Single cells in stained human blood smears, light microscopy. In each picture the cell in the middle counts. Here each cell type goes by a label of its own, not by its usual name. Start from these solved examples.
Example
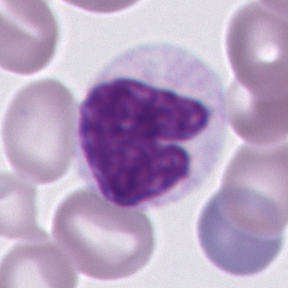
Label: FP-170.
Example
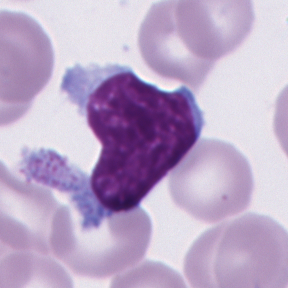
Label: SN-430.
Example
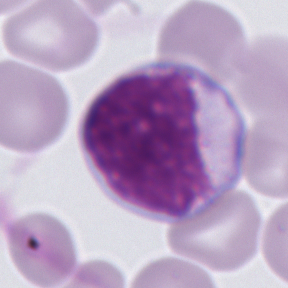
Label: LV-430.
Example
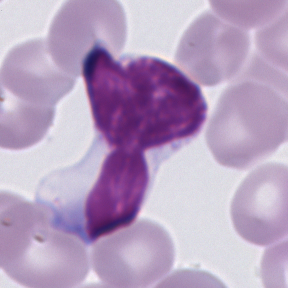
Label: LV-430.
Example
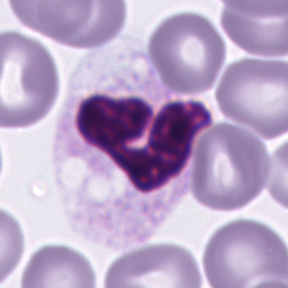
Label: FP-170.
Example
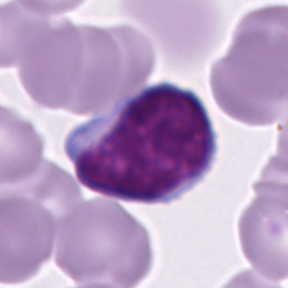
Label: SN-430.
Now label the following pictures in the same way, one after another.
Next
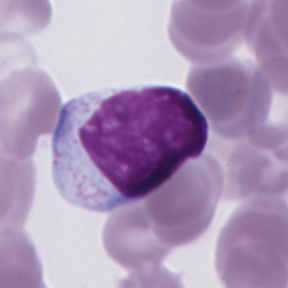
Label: LV-430.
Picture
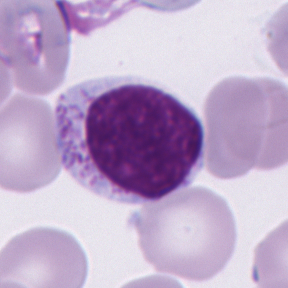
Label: LV-430.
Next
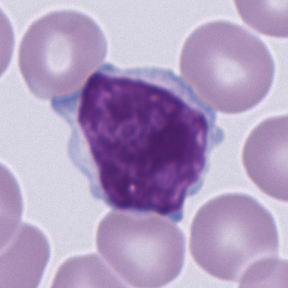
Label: SN-430.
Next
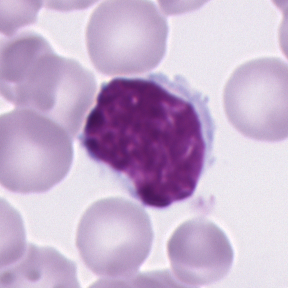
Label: SN-430.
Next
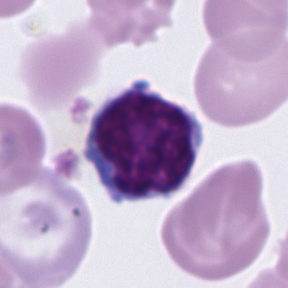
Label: SN-430.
